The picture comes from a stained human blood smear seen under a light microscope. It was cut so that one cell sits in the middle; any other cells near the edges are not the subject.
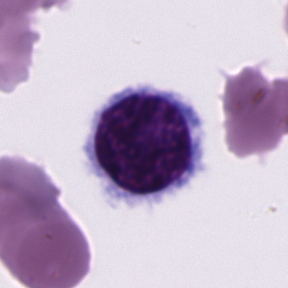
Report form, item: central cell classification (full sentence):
The middle of this crop is occupied by a hairy cell.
